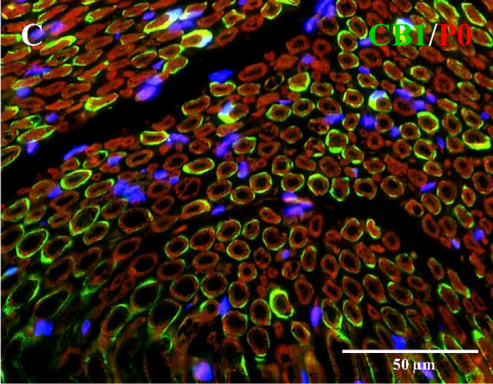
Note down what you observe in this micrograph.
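This is a cross-section of peripheral nerve showing myelinating Schwann cells wrapped around nerve fibres. Each fibre appears as a round profile with a dark centre where the axon lies, surrounded by a red ring of myelin. Many of the rings also carry green, so that they look yellow where the two colours overlap, and some rings are brighter green with a thicker crescent on one side. Small blue nuclei lie between the fibres and against the rings. The fibres are grouped into fascicles separated by dark bands of connective tissue, and toward the bottom the fibres are cut obliquely and appear as elongated profiles.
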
